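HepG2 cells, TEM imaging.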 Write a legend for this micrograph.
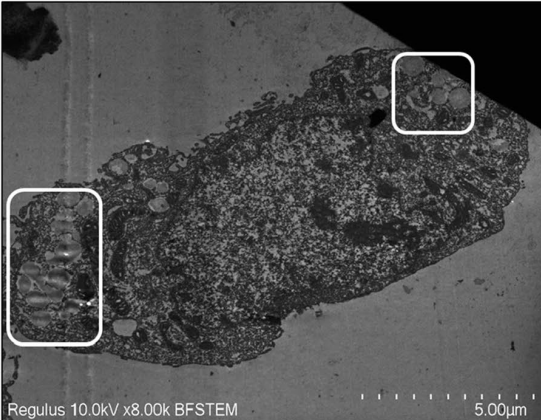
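An elongated cultured cell is seen in section, with a large central nucleus of granular chromatin taking up much of its body. At both ends the cytoplasm is crowded with round, smooth, evenly grey bodies of varying size, packed closely together. These bodies have no inner membranes and stand out from the finely textured cytoplasm around them. Smaller vesicles and membrane profiles lie along the cell margin. The clustered round bodies are lipid droplets accumulating in the cytoplasm.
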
